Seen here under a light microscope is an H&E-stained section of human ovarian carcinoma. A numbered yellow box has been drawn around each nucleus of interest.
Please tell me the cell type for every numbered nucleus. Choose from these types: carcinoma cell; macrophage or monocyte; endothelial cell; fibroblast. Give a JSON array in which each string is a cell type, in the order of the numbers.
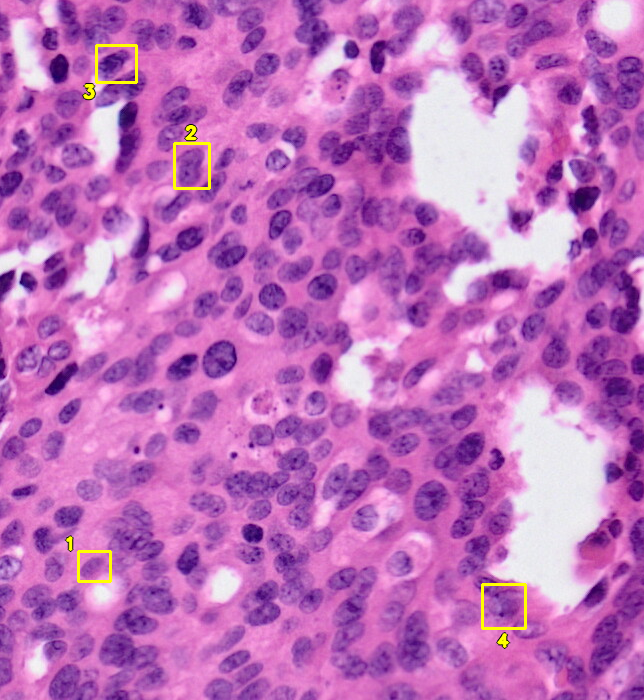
["carcinoma cell", "carcinoma cell", "carcinoma cell", "endothelial cell"]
